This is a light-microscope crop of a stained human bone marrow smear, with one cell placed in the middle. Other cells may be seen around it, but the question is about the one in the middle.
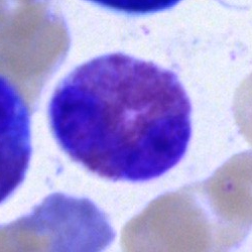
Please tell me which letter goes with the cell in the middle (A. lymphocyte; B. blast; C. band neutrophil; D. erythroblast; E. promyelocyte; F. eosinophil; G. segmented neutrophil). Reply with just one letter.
F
